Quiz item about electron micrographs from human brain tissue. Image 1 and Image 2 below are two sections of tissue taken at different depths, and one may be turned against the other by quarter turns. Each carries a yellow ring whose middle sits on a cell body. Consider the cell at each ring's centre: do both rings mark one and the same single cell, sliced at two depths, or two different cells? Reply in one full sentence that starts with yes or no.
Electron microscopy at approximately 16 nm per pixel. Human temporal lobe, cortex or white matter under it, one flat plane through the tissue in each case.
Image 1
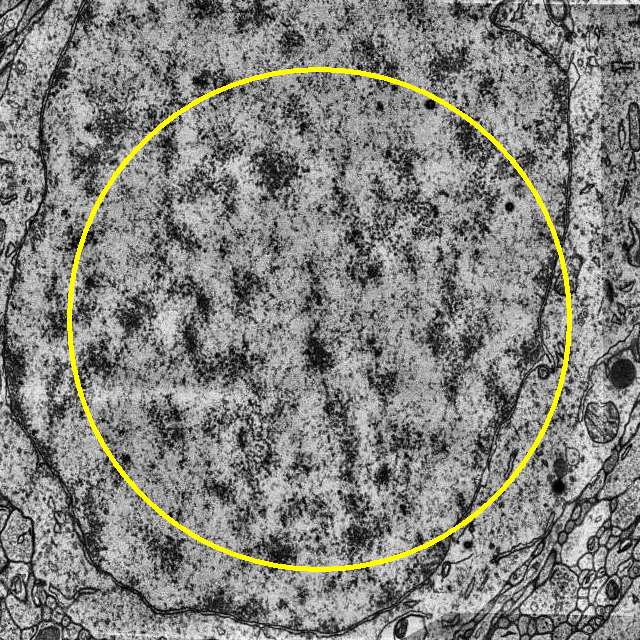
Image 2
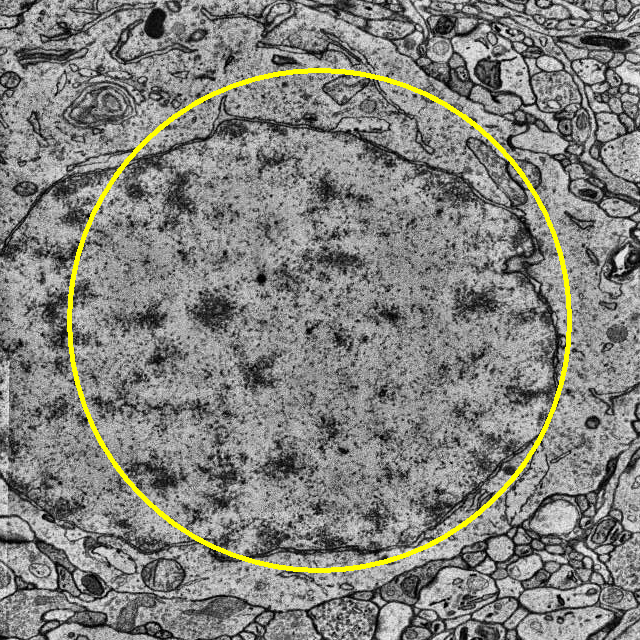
Yes, the two rings mark one cell and not separate cells.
